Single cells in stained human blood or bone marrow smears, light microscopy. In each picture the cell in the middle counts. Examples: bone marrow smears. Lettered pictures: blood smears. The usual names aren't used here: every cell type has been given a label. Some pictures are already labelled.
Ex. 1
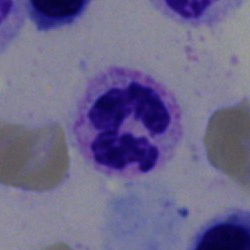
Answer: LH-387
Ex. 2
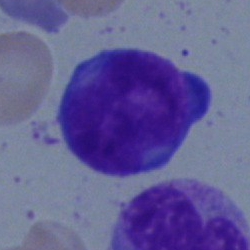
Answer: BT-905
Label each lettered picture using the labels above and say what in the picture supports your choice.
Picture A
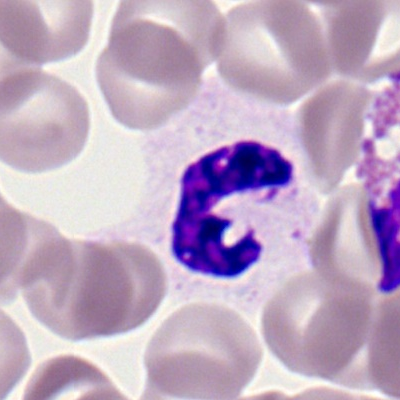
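Answer: LH-387. The nucleus is a single unsegmented curved band shaped like a letter C.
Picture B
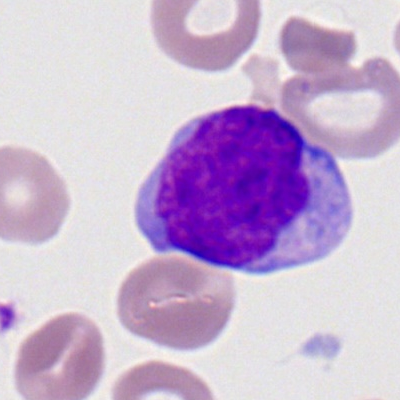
Answer: BT-905. The nucleus fills most of the cell and sits toward the left side.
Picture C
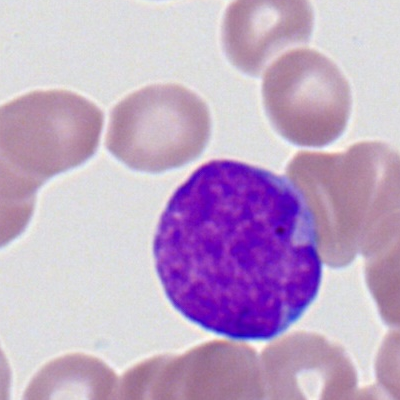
Answer: BT-905. The cytoplasm is very scant.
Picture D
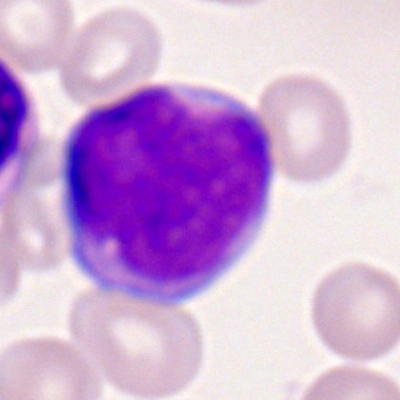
Answer: BT-905. The nucleus fills most of the cell.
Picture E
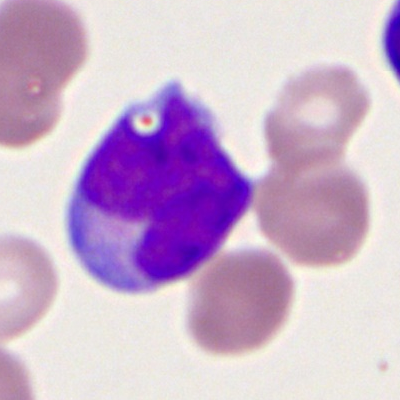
Answer: BT-905. The nucleus fills most of the cell.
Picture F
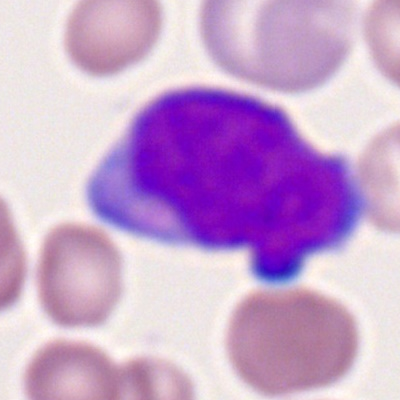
Answer: BT-905. The nucleus fills most of the cell, leaving a small amount of cytoplasm.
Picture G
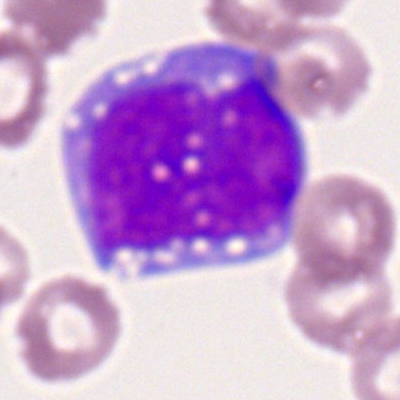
Answer: BT-905. The cytoplasm forms only a narrow rim around the nucleus.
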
